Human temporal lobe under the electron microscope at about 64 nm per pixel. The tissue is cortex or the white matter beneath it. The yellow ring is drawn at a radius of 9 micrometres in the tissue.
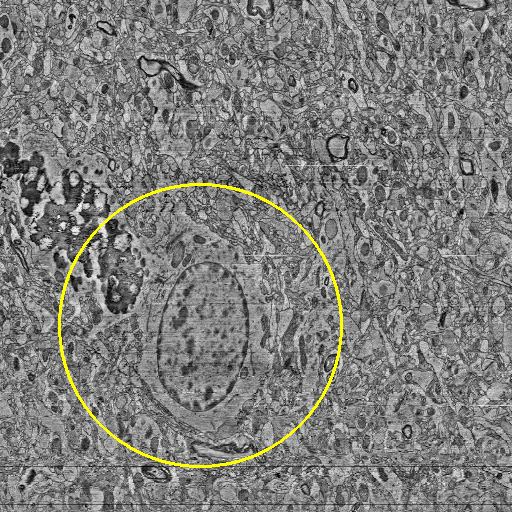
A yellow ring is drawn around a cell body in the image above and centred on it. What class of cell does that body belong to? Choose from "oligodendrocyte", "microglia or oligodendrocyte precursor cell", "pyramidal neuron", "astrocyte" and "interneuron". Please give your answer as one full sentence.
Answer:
The yellow ring above is centred on the cell body of an astrocyte.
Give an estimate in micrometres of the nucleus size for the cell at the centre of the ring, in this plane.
In this plane the nucleus is clearly longer than it is wide: roughly 10 by 6 micrometres.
